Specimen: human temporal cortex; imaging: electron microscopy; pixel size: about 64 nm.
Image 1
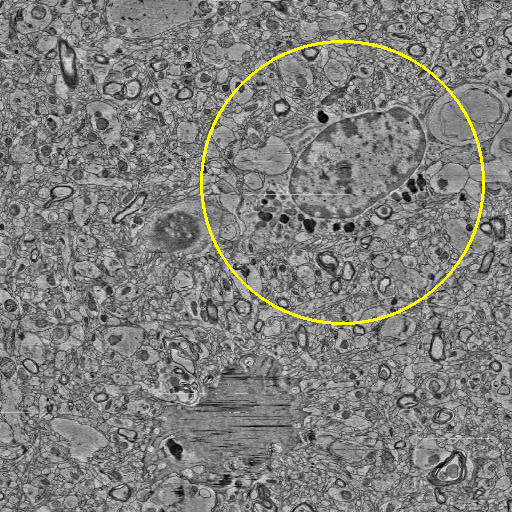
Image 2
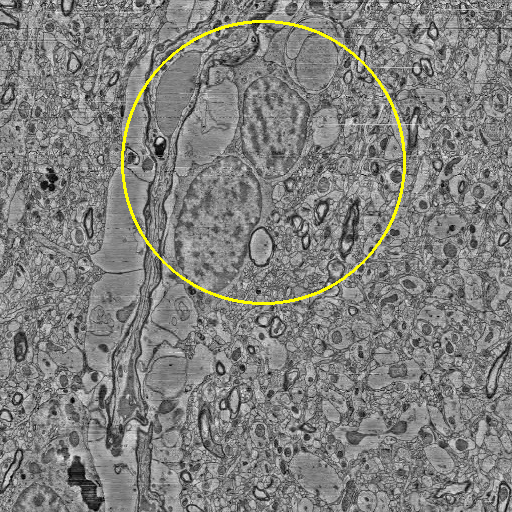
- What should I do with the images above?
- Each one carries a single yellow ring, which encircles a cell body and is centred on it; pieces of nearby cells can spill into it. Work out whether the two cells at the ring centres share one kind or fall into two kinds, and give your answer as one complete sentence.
The ring-centre cells of Image 1 and Image 2 fall into two kinds.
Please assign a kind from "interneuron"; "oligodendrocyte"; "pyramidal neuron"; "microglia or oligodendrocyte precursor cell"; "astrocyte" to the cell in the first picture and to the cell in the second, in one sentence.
In the first picture we have a microglial cell or oligodendrocyte precursor cell, and in the second, an oligodendrocyte.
